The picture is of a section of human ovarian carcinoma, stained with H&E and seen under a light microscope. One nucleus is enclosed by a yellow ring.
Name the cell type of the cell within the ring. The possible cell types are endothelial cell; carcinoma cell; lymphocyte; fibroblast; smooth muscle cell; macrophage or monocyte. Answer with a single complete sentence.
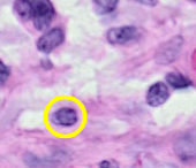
The cell within the ring is a lymphocyte.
